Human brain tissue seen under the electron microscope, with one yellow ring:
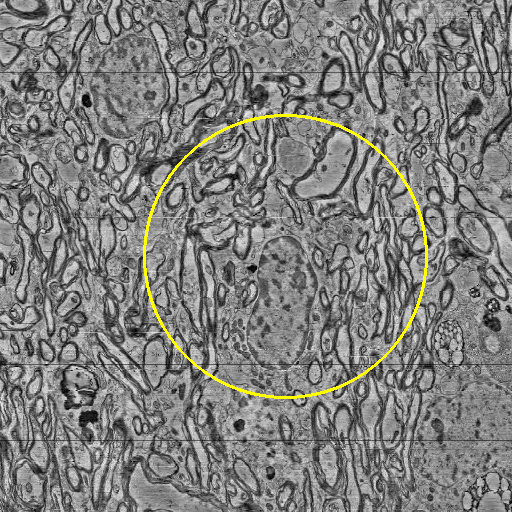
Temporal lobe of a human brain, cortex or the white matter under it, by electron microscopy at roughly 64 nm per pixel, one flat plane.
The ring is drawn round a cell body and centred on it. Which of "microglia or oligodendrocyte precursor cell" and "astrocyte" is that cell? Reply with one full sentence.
The picture shows a microglial cell or oligodendrocyte precursor cell at the very centre of the yellow ring.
